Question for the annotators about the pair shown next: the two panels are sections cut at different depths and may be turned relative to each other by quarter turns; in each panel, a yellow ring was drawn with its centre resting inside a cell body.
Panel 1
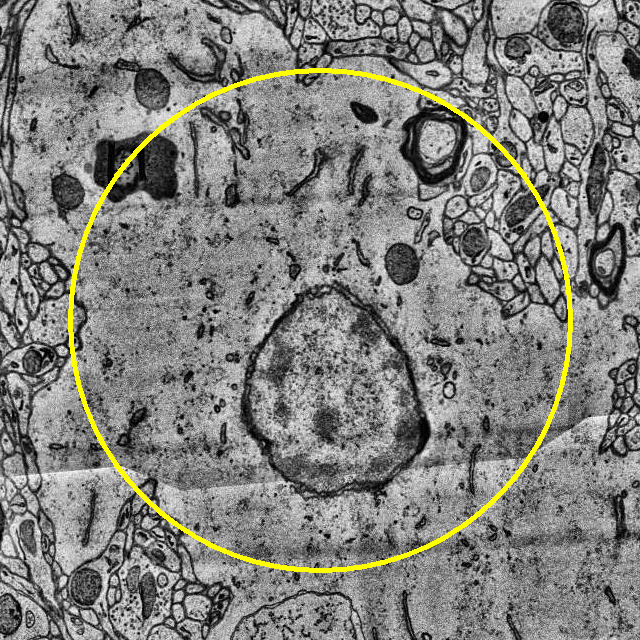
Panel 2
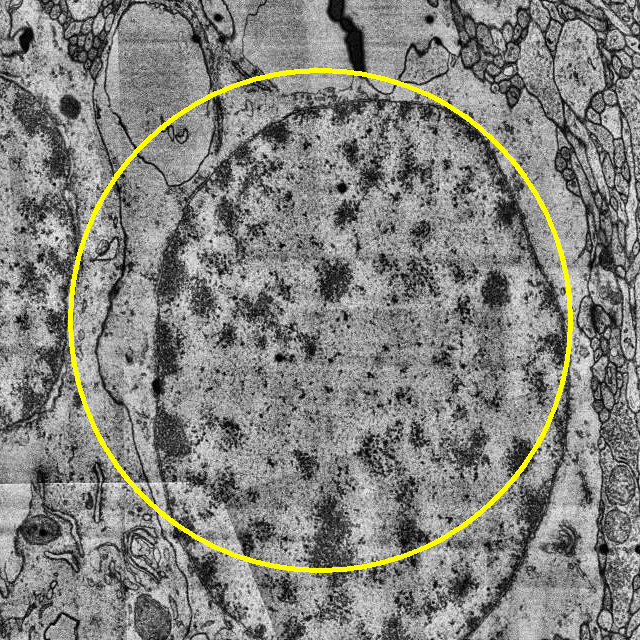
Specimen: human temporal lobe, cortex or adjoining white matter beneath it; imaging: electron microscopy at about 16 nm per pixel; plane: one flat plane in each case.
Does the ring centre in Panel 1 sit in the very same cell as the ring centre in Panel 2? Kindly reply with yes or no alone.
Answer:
no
